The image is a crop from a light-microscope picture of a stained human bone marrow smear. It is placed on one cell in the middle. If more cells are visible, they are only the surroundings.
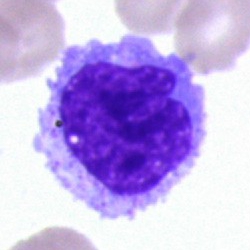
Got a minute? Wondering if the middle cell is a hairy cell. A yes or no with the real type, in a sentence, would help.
No, the cell in the middle is a monocyte; it is not a hairy cell.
